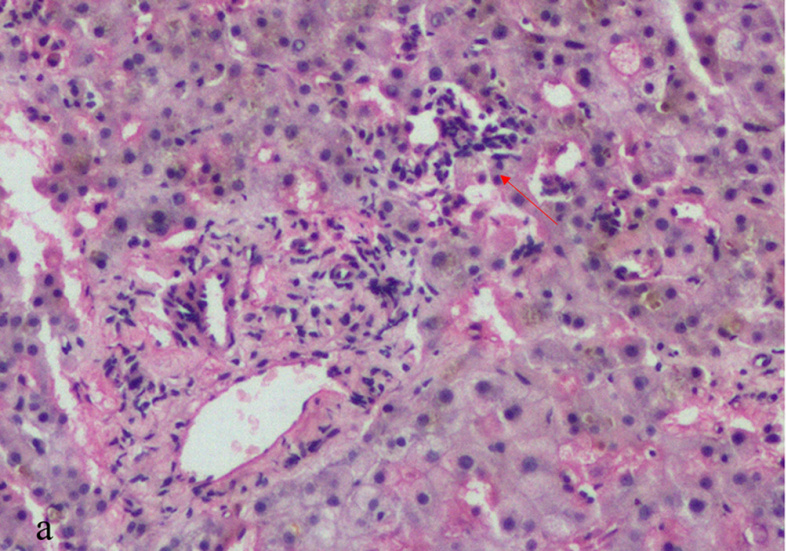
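Liver tissue at low magnification, showing hepatocyte plates around a portal area and a focus of inflammation within the lobule. A cluster of small, densely stained nuclei lies within the parenchyma beside the portal area. The portal area contains loose pink connective tissue, a large thin-walled vessel and scattered small nuclei. Scattered brownish pigment is seen among the hepatocytes, and no broad bands of fibrous tissue cross the field.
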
